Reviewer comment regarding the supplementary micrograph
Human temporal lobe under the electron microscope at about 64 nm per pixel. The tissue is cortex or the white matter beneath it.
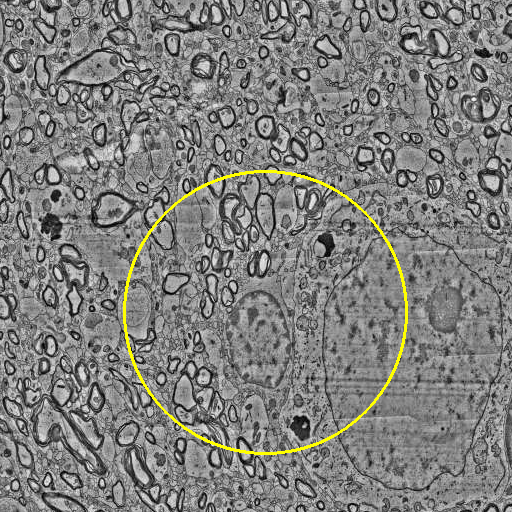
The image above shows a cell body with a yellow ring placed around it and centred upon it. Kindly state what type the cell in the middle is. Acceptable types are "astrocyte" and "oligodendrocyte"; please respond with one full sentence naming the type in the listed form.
In the image above, the cell on which the yellow ring is centred is an oligodendrocyte.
